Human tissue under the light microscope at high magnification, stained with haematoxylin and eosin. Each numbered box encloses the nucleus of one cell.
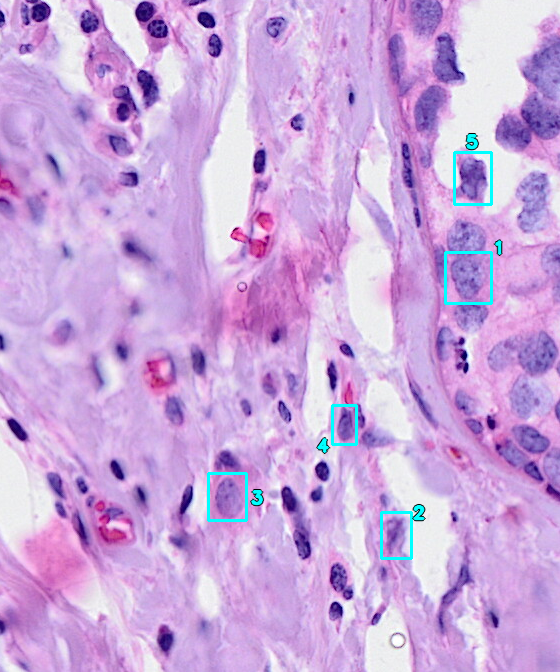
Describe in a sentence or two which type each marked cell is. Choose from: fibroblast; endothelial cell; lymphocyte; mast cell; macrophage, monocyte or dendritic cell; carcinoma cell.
Cell 1 is a carcinoma cell, cell 2 is a fibroblast, cell 3 is an endothelial cell, cell 4 is an endothelial cell and cell 5 is a carcinoma cell.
